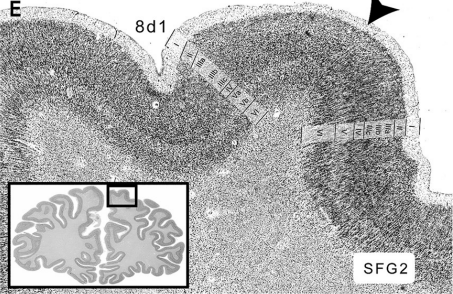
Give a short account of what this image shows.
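This is a low-power view of cerebral cortex folded around a small sulcus, with the pale white matter lying beneath the dark band of grey matter. The grey matter is built of horizontal layers of dark-staining neuronal cell bodies, with a pale cell-poor outermost layer beneath the brain surface.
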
